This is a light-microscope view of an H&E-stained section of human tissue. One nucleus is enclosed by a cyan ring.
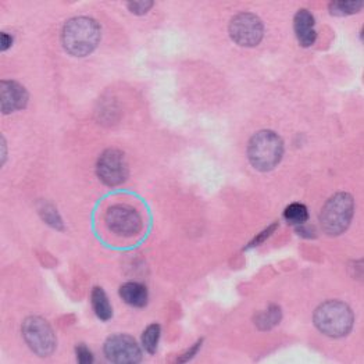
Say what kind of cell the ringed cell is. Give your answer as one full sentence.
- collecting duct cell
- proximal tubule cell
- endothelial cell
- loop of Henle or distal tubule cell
For cell typing purposes, the ringed cell is a proximal tubule cell.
